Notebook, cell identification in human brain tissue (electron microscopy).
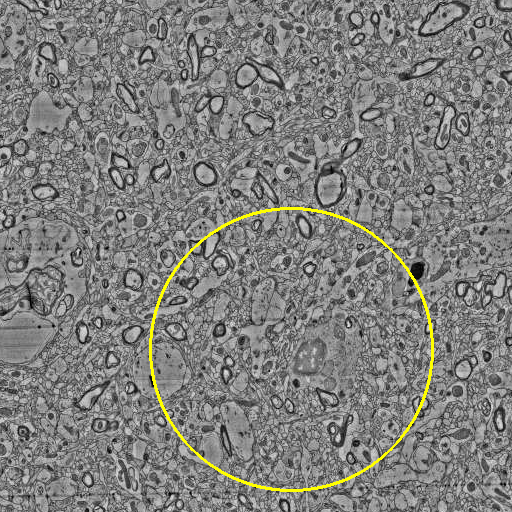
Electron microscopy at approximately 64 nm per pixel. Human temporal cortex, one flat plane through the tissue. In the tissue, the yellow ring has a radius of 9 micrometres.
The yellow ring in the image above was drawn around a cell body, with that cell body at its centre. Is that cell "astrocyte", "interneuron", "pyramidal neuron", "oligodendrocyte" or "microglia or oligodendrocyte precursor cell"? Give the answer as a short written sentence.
The cell in the ring is an oligodendrocyte.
